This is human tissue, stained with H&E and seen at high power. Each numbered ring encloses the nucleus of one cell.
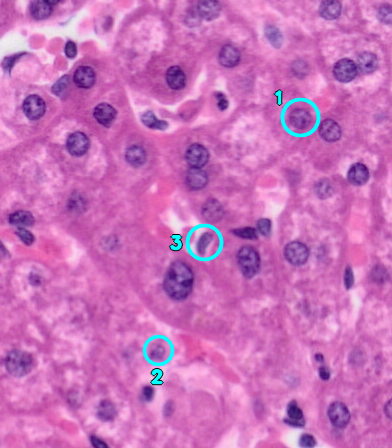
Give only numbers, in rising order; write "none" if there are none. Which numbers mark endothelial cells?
3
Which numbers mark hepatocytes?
1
